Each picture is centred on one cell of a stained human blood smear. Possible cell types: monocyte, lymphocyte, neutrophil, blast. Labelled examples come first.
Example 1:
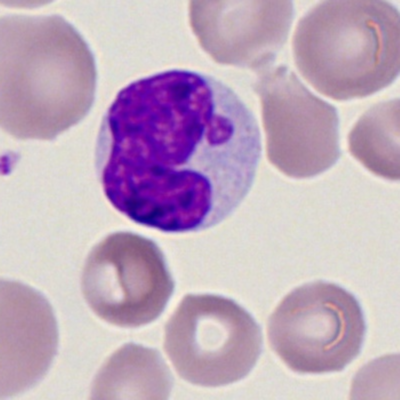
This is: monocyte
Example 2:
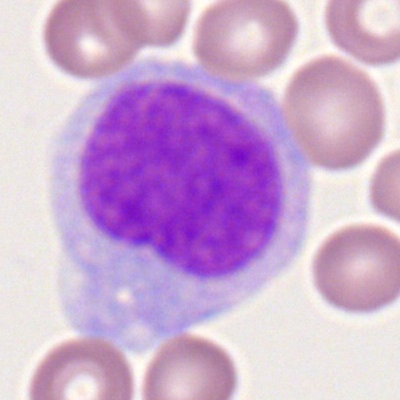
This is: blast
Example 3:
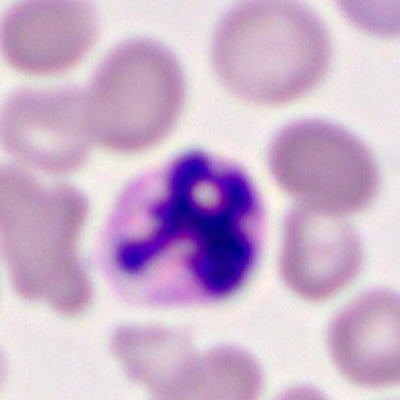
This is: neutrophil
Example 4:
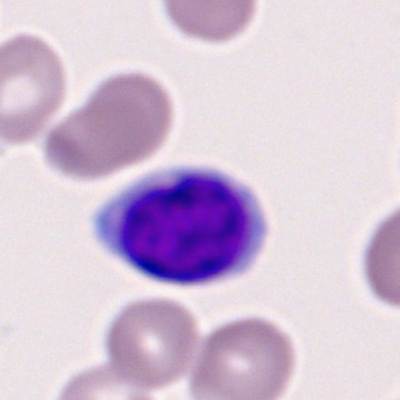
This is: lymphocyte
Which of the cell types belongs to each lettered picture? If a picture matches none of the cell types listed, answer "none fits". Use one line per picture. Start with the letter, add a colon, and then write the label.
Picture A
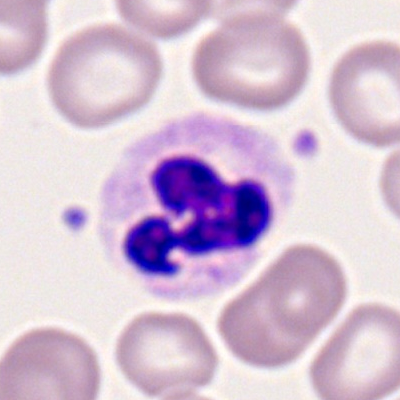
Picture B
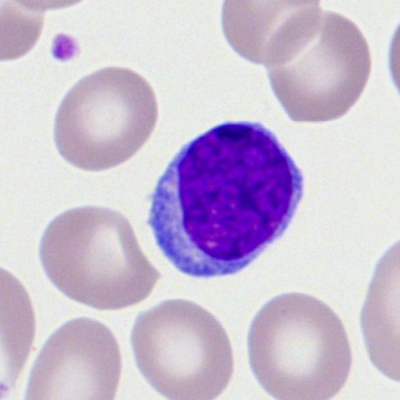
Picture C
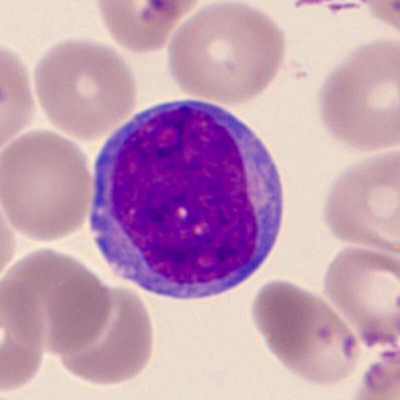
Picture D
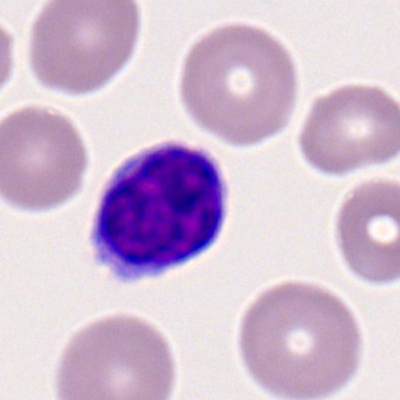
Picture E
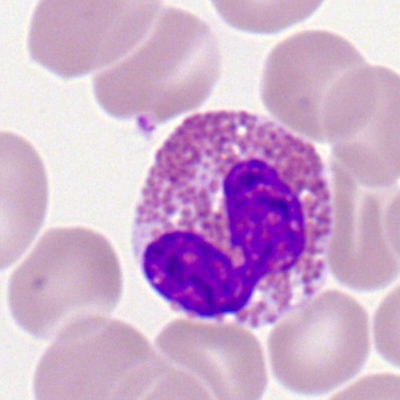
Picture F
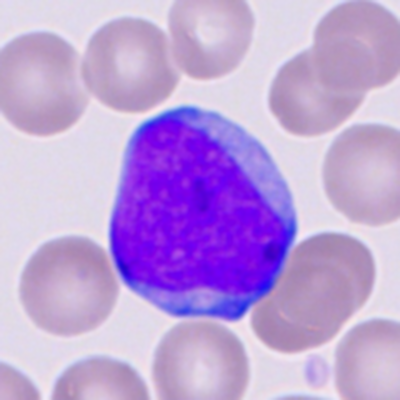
A: neutrophil
B: lymphocyte
C: blast
D: lymphocyte
E: none fits
F: blast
